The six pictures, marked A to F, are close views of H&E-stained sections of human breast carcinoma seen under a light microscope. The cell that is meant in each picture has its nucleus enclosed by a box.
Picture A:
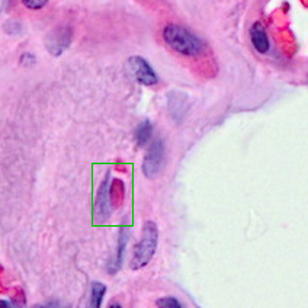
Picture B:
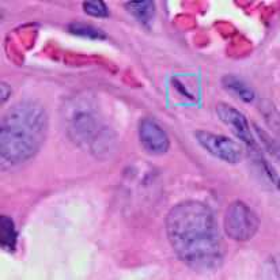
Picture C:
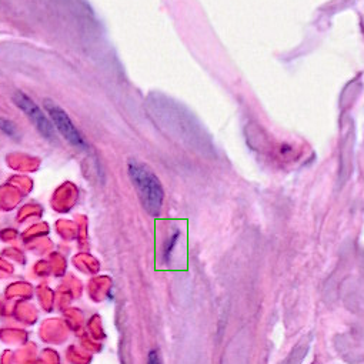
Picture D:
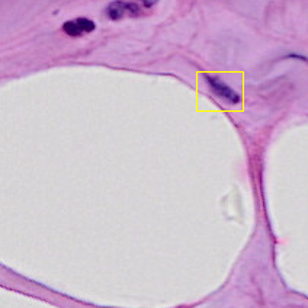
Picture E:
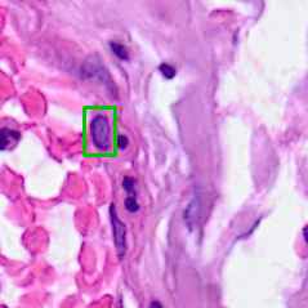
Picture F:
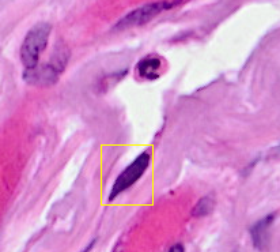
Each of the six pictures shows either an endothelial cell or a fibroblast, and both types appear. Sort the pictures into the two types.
A: endothelial cell
B: endothelial cell
C: fibroblast
D: fibroblast
E: endothelial cell
F: fibroblast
